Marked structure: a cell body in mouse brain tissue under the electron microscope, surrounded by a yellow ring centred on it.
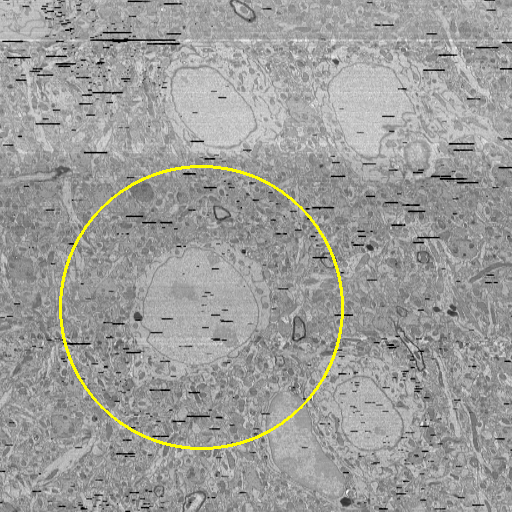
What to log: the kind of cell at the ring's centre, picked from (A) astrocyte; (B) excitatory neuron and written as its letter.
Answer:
B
